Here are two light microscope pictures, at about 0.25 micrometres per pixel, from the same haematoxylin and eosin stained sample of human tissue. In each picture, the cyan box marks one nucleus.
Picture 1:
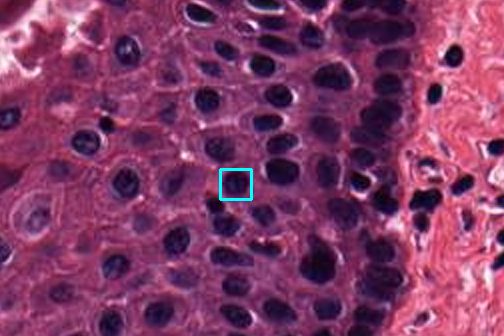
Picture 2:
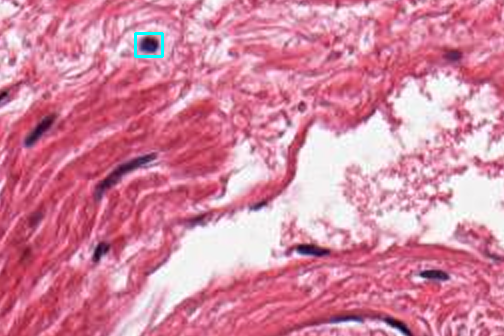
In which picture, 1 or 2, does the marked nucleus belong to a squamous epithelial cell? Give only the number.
1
